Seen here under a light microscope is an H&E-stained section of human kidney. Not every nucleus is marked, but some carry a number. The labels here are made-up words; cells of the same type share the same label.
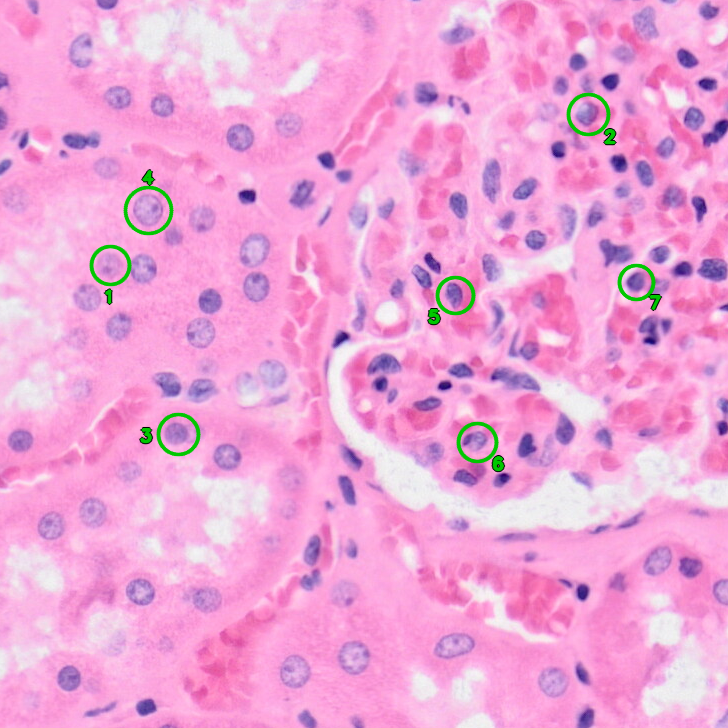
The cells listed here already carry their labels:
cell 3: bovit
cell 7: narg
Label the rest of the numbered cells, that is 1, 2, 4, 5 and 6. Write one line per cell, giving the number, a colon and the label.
1: bovit
2: narg
4: bovit
5: narg
6: narg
